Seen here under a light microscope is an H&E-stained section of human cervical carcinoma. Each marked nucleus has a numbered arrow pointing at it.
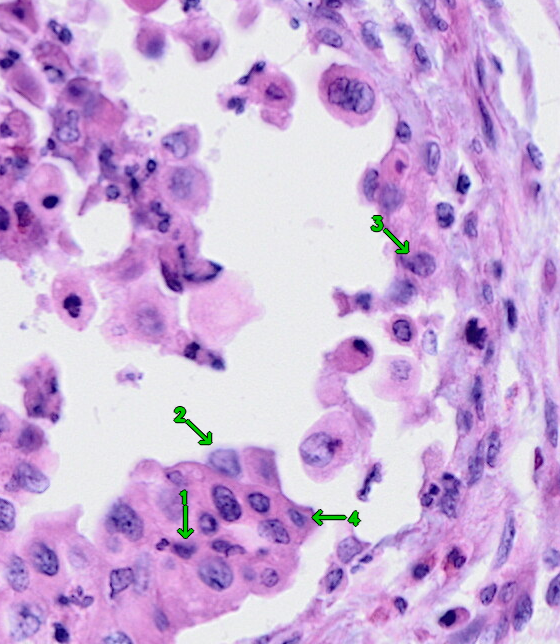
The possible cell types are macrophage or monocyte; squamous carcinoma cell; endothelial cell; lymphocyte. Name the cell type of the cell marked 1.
squamous carcinoma cell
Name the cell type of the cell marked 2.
squamous carcinoma cell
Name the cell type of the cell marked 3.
macrophage or monocyte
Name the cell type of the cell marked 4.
squamous carcinoma cell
